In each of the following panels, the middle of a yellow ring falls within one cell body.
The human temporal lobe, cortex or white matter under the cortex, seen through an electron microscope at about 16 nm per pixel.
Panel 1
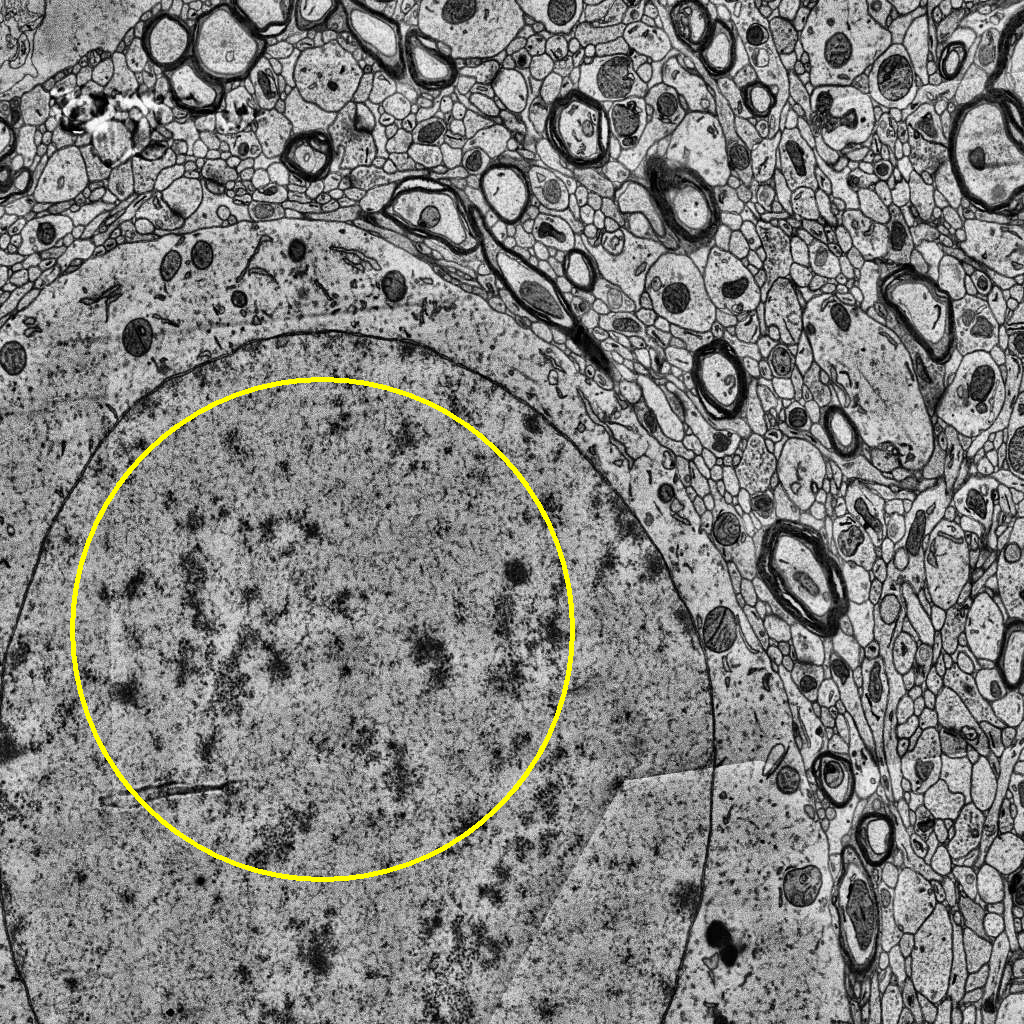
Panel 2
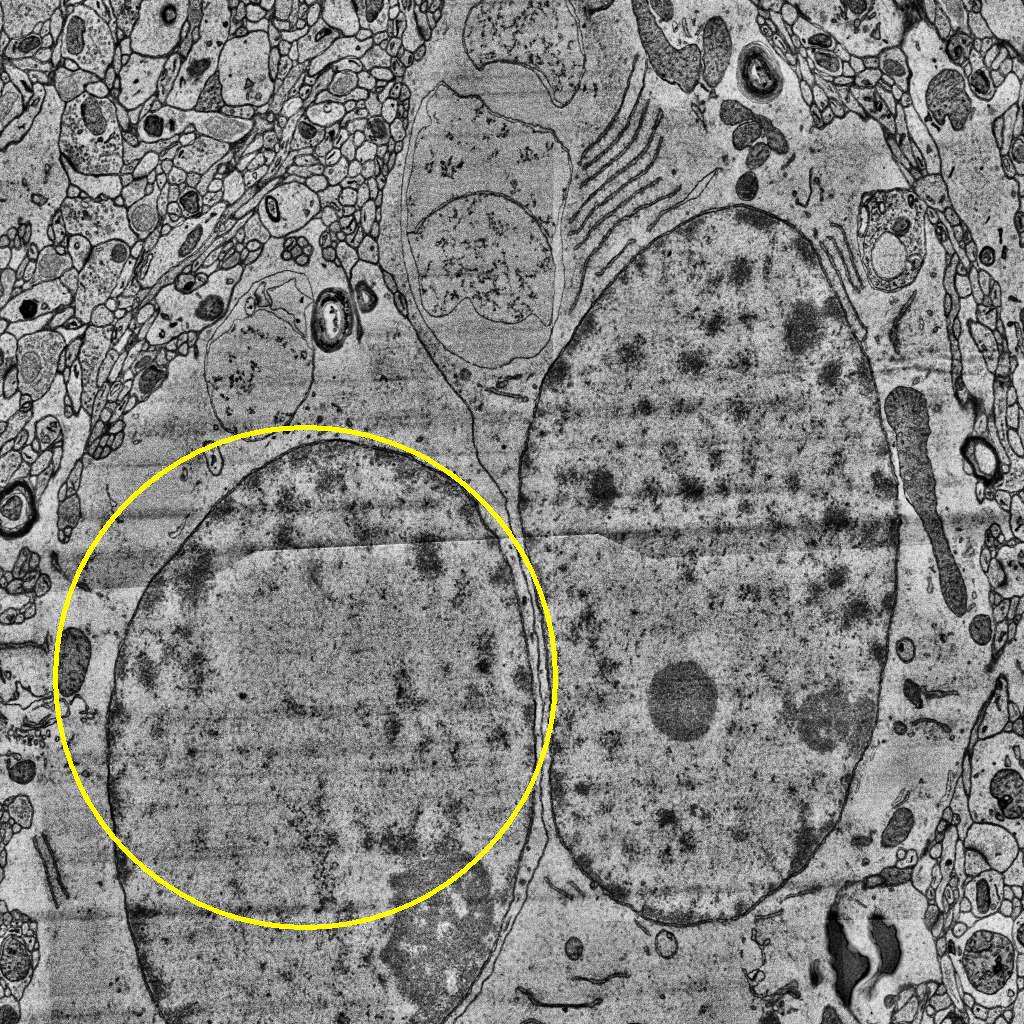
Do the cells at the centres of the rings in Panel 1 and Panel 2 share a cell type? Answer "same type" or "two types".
two types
